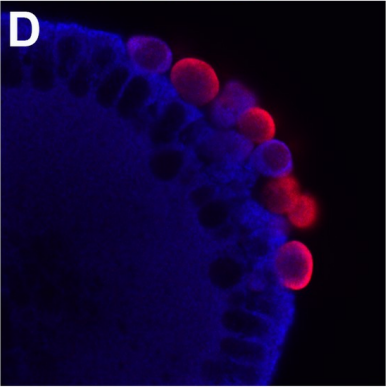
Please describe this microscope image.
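Along the curved edge of the embryo lies a layer of narrow, tightly packed columnar cells whose nuclei appear as dark ovals within the blue-stained cytoplasm. Outside this layer, on the surface, sits a row of much larger, round cells filled with red, each with a smooth rounded outline and some with a faint blue tinge. These large round cells stand apart from the epithelial layer by their size and shape. This looks like the germ line precursors, the pole cells, clustered at the outer surface next to the embryonic cell layer.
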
